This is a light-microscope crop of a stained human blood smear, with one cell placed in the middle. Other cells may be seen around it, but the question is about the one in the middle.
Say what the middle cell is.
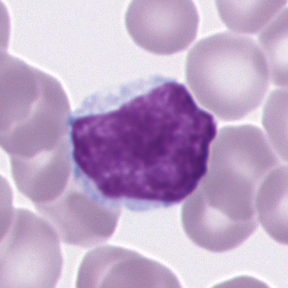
lymphocyte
